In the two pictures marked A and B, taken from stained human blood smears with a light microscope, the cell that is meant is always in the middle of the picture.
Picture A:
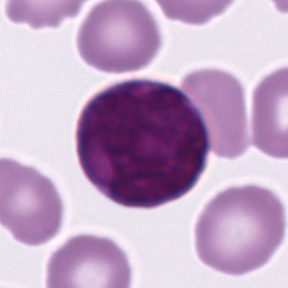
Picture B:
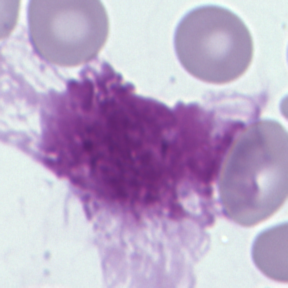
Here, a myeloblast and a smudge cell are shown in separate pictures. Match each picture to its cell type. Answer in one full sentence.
Picture A shows a myeloblast and picture B shows a smudge cell.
